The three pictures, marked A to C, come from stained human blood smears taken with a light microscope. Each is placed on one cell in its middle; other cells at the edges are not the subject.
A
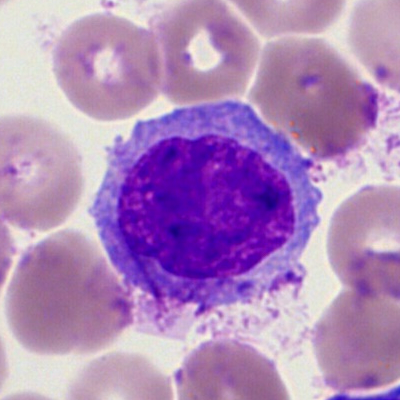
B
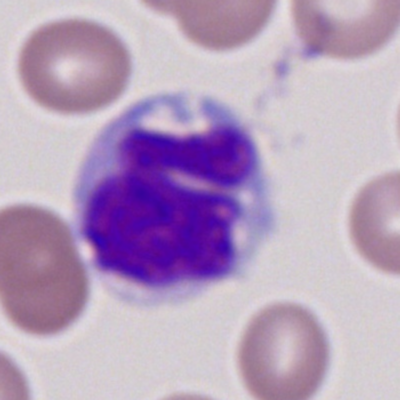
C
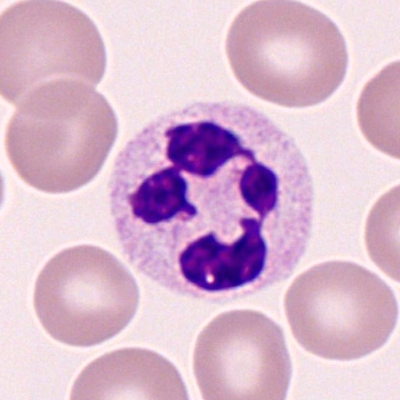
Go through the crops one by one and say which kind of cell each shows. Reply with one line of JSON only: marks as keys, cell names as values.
{"A": "blast", "B": "monocyte", "C": "neutrophil"}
